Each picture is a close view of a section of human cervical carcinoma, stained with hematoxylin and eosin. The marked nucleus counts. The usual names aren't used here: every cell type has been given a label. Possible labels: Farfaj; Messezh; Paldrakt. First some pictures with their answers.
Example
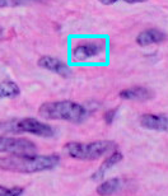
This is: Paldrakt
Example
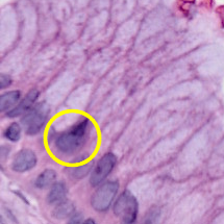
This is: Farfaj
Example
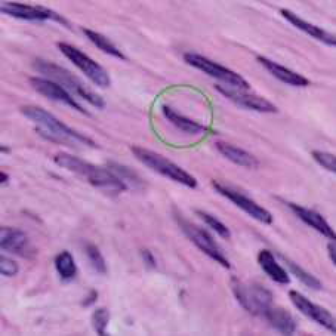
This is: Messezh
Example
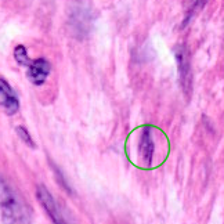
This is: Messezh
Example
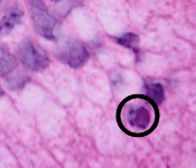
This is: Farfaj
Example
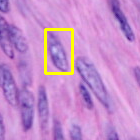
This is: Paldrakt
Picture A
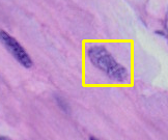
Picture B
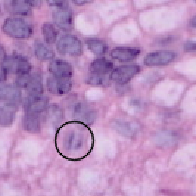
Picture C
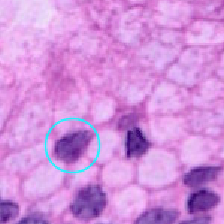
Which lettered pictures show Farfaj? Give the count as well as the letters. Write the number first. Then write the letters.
2, namely B, C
